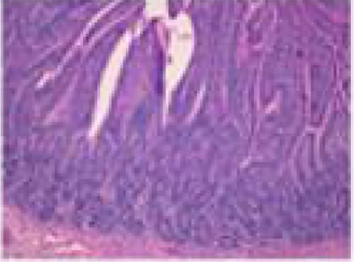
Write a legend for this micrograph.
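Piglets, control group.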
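Long finger-like villi project toward the lumen at top, separated by narrow white clefts; they are covered by a purple-stained columnar epithelium with closely packed nuclei. Beneath the villi a broad, densely cellular zone of tubular crypts stains deep purple. A thin pale-pink band of muscle runs along the lower edge beneath the mucosa. Individual cells are too small to resolve in detail; the picture shows mainly the layered architecture of villi above crypts above muscle.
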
